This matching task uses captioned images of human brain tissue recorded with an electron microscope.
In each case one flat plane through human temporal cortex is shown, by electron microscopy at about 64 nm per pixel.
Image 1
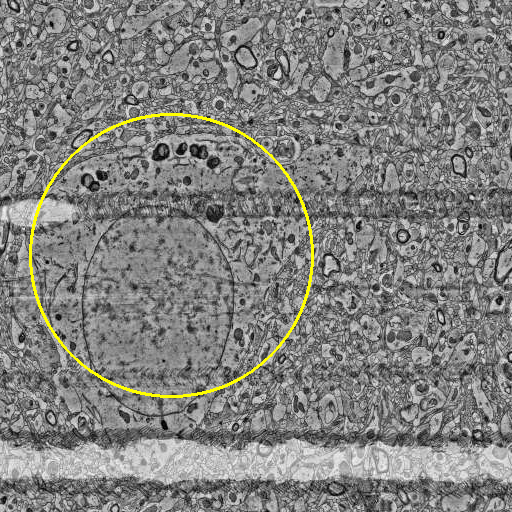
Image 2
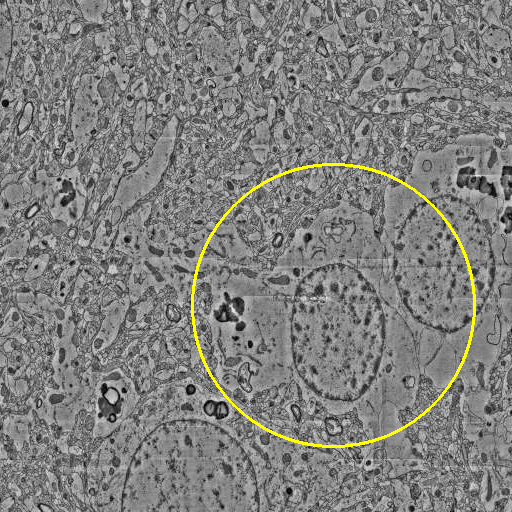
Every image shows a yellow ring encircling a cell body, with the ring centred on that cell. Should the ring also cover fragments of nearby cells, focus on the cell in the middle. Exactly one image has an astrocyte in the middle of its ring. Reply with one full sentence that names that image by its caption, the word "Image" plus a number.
Image 2 shows the cell in question at the centre of its yellow ring.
